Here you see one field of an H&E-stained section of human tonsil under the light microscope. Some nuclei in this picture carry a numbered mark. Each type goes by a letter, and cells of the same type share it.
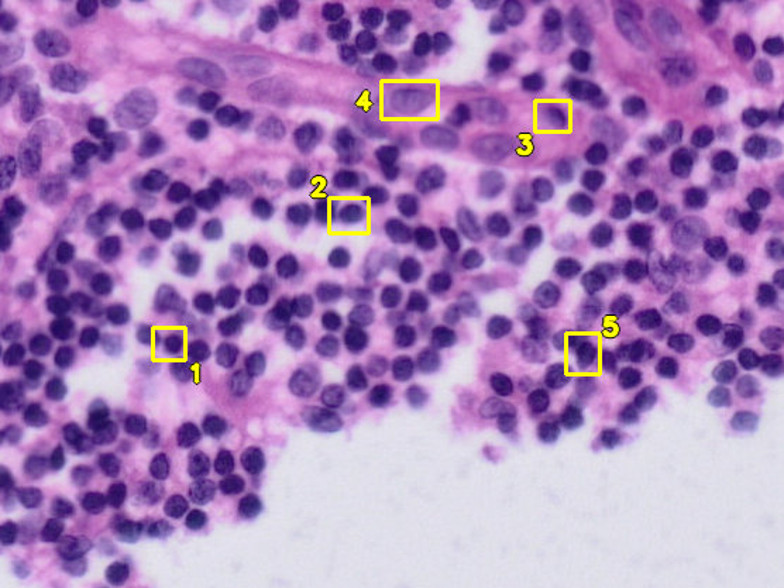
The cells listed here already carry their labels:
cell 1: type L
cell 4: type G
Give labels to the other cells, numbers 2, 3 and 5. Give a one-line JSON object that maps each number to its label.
{"2": "type L", "3": "type G", "5": "type L"}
